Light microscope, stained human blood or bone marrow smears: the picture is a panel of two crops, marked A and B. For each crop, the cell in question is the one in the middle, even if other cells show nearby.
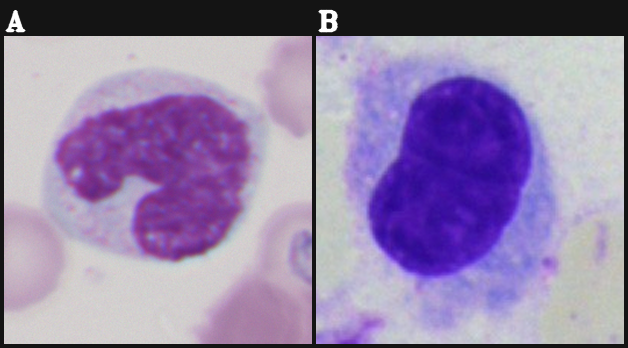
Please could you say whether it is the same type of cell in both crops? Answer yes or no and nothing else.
no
